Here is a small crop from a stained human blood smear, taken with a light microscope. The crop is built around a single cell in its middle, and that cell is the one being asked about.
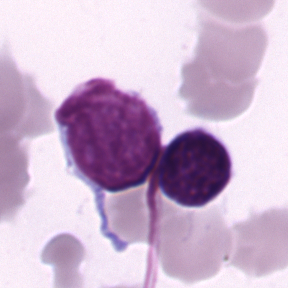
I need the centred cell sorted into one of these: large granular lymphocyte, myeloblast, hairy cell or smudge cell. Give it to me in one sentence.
The cell at the heart of this crop is a myeloblast.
